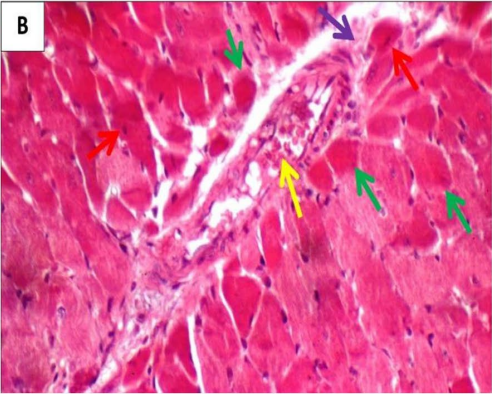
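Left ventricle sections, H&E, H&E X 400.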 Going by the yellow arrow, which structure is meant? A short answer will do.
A: Congested blood vessels.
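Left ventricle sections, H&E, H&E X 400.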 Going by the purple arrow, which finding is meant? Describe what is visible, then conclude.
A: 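Peri-vascular edema. Pale, loose, widened space lies around the vessel wall. The space separates the vessel from the surrounding muscle fibers.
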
